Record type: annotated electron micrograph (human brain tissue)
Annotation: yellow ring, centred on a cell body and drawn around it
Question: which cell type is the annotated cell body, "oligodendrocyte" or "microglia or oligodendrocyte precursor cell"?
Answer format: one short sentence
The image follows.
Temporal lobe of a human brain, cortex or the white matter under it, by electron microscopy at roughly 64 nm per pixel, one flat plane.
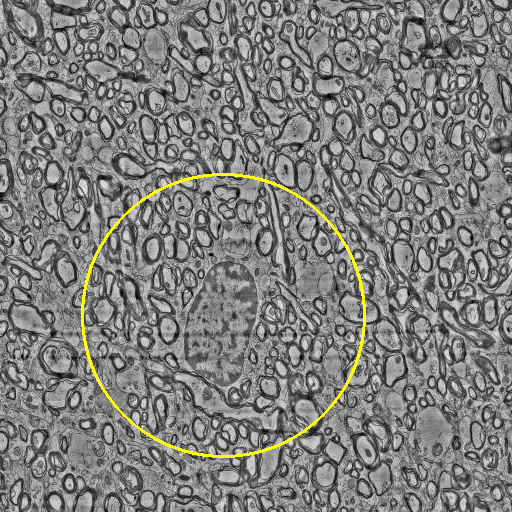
The annotated cell body is that of a microglial cell or oligodendrocyte precursor cell.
